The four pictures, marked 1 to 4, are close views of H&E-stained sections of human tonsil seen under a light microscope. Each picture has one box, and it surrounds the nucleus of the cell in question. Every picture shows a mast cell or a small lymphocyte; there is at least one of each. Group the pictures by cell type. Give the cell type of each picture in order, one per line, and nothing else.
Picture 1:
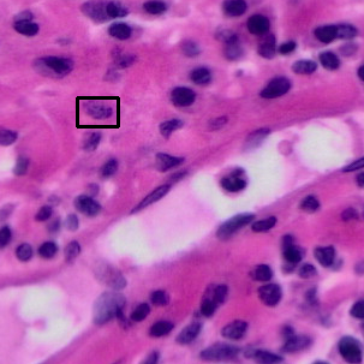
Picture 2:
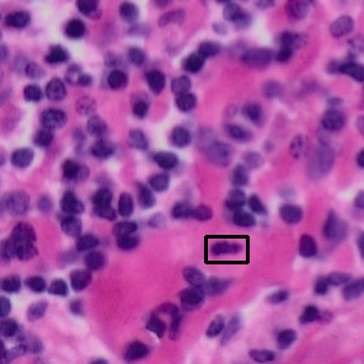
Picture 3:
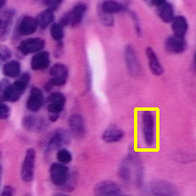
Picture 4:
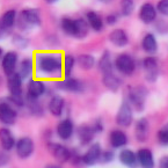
mast cell
mast cell
mast cell
small lymphocyte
